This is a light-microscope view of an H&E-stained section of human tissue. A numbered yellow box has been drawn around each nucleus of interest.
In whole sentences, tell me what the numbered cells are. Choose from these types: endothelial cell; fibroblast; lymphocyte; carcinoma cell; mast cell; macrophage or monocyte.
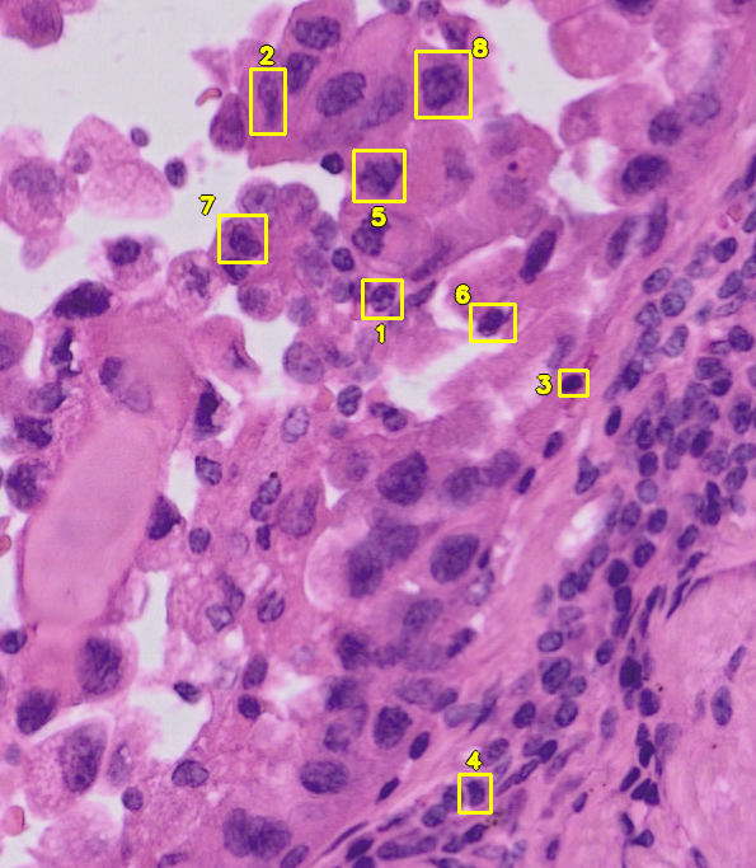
Cells 1, 3 and 4 are lymphocytes. Cells 2, 5, 6, 7 and 8 are carcinoma cells.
